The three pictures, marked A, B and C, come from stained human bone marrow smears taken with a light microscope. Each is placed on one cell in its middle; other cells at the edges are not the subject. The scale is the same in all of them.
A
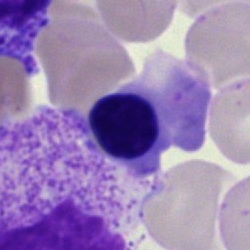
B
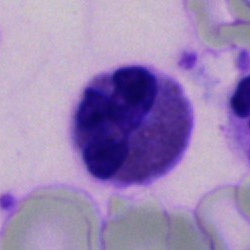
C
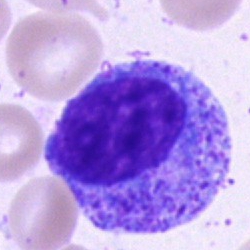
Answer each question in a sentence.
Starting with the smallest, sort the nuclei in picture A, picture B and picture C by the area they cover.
Smallest first: A, B, C.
